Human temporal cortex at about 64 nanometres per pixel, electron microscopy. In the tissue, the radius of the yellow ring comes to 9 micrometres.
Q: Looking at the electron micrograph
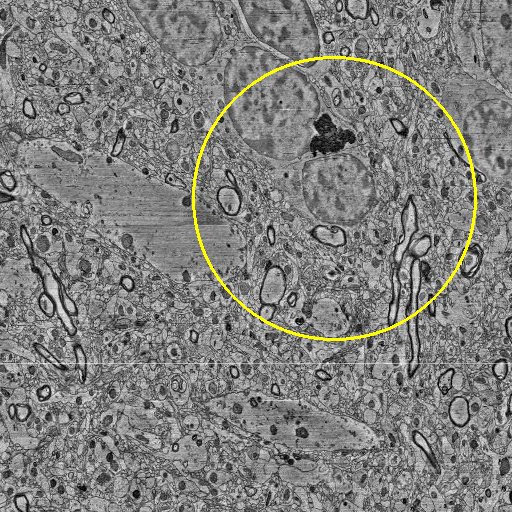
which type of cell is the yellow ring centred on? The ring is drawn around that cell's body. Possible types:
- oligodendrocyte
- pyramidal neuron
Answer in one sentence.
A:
The yellow ring is centred on an oligodendrocyte.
